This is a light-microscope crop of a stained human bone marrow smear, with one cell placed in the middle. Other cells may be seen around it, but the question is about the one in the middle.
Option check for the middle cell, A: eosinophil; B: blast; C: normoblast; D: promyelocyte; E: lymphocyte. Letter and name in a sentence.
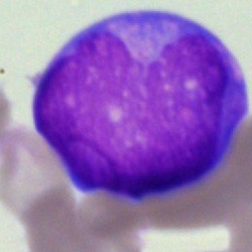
The best answer is option B, since the cell in the middle is a blast.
